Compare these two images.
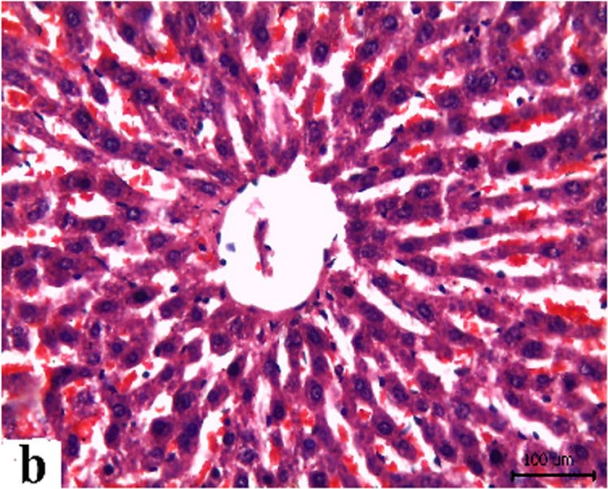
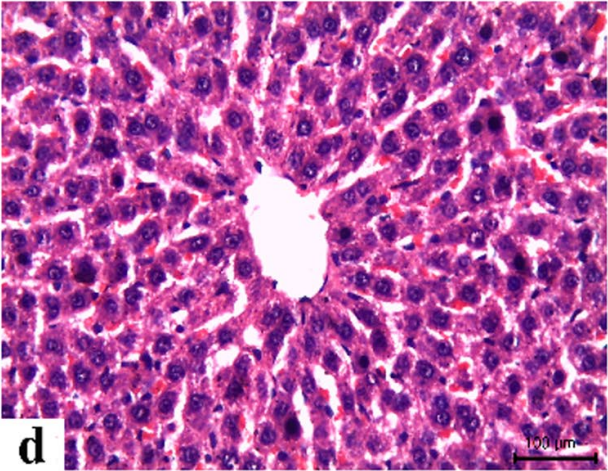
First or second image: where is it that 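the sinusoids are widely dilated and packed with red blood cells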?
The first image.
